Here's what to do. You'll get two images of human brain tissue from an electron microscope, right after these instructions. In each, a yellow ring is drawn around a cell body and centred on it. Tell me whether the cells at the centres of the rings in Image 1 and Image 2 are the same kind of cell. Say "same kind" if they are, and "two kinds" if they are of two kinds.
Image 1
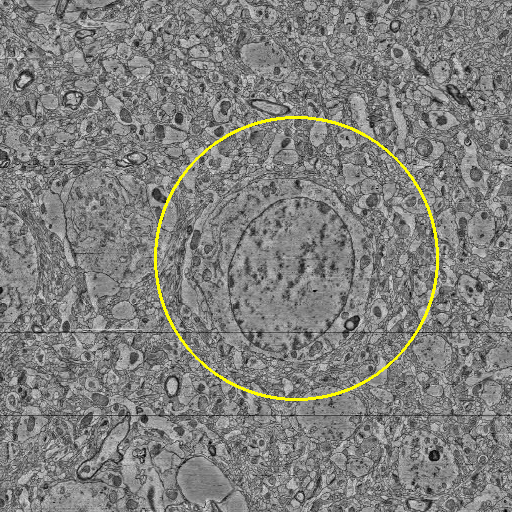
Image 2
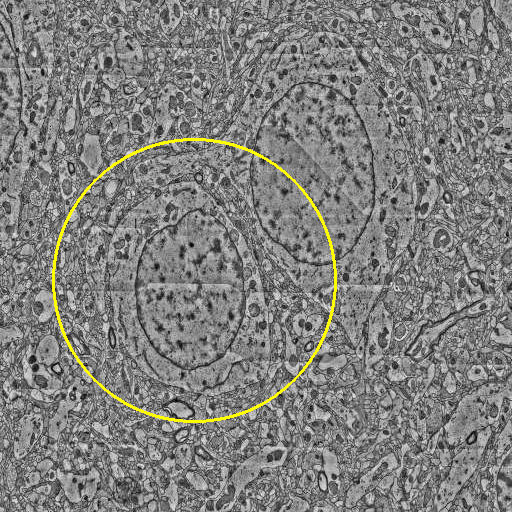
same kind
